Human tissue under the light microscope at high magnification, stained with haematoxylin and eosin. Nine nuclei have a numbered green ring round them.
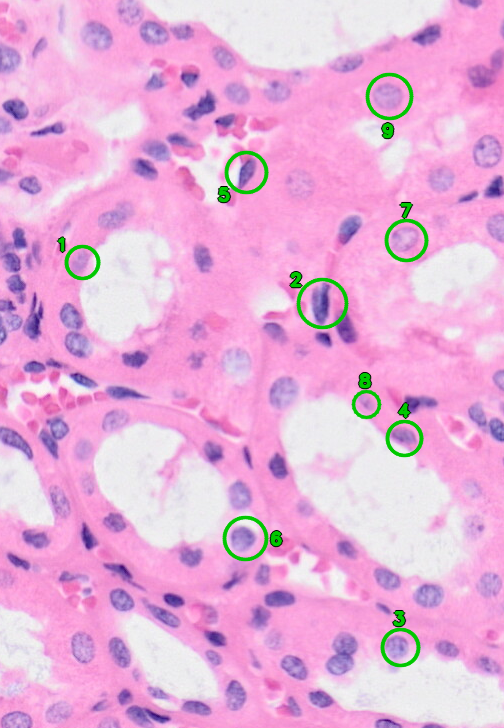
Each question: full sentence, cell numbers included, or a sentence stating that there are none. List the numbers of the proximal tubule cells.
The cells numbered 7 and 9 are of one kind: proximal tubule cells.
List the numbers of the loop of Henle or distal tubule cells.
The numbers 1, 3, 4, 6 and 8 in this section indicate loop of Henle or distal tubule cells.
